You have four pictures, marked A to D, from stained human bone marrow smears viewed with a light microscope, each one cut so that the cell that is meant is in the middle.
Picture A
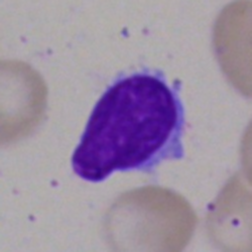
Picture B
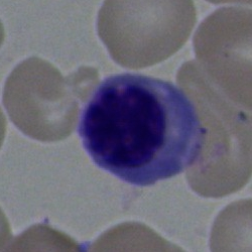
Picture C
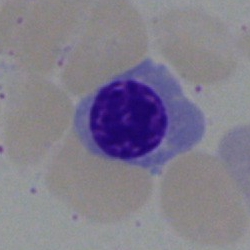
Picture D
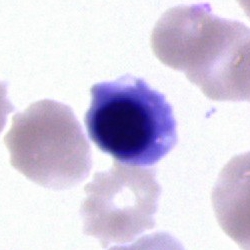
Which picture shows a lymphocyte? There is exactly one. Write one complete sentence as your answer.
It is picture A that shows the lymphocyte.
